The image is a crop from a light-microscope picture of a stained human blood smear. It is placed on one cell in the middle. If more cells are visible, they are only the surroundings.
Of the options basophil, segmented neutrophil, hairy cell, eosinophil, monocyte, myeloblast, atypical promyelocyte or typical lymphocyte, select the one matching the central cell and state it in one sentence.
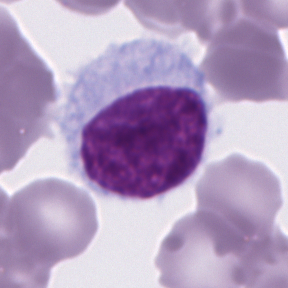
Of the cells in this crop, the central one is a hairy cell.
